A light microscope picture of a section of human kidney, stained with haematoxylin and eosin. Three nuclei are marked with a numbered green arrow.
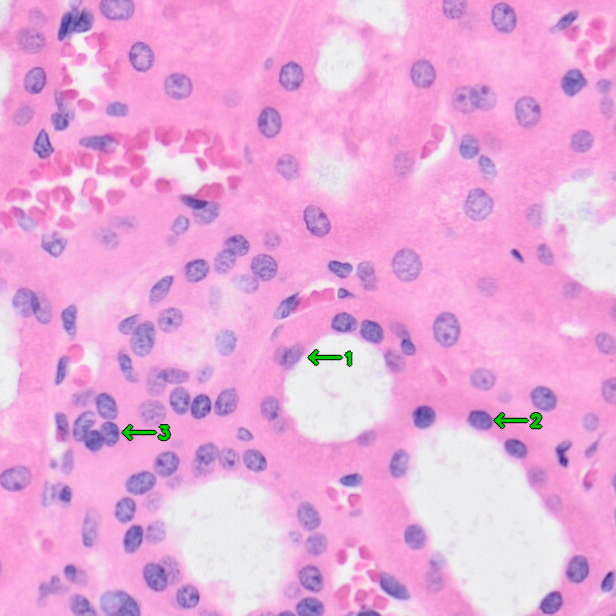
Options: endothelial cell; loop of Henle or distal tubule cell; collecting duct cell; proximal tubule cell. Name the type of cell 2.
loop of Henle or distal tubule cell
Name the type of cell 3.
collecting duct cell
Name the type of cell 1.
loop of Henle or distal tubule cell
